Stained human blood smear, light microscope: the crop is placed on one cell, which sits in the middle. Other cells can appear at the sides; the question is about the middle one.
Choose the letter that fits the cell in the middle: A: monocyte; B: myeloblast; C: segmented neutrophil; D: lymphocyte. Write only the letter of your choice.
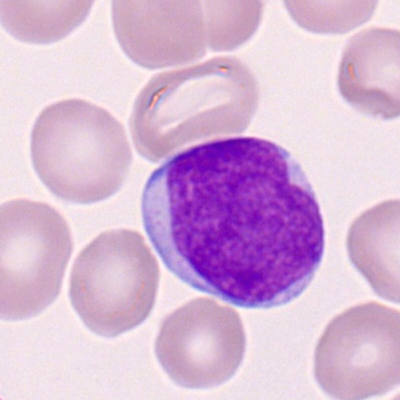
B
